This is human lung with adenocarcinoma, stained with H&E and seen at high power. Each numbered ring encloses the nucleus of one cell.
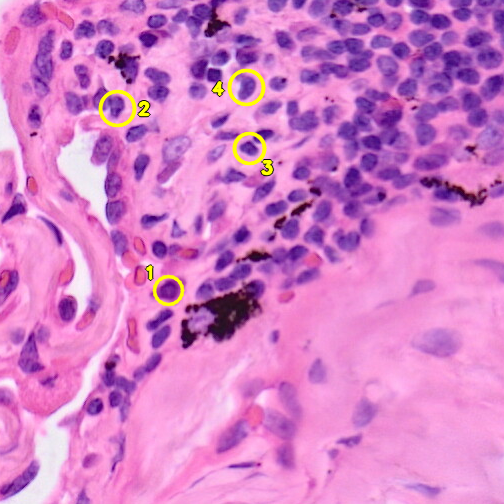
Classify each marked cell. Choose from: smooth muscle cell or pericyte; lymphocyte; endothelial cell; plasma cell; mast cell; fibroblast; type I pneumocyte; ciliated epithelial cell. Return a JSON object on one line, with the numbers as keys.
{"1": "plasma cell", "2": "lymphocyte", "3": "lymphocyte", "4": "lymphocyte"}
